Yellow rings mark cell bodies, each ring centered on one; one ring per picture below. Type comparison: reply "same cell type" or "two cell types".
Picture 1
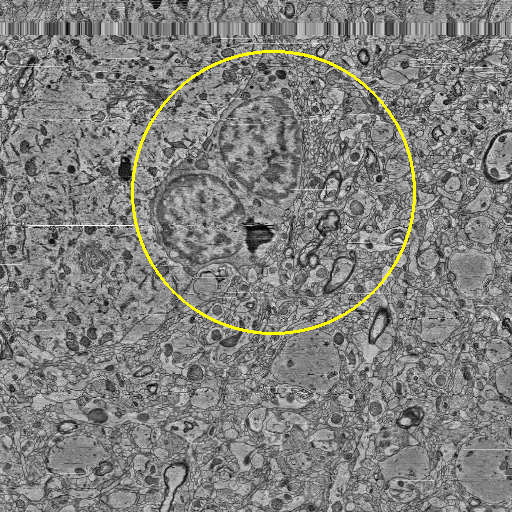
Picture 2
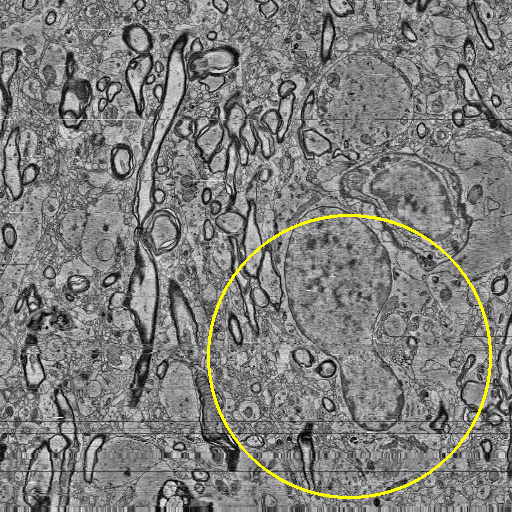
two cell types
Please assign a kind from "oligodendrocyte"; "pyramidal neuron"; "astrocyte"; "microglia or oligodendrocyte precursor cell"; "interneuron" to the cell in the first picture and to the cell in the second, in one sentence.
In the first picture we have an oligodendrocyte, and in the second, a microglial cell or oligodendrocyte precursor cell.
